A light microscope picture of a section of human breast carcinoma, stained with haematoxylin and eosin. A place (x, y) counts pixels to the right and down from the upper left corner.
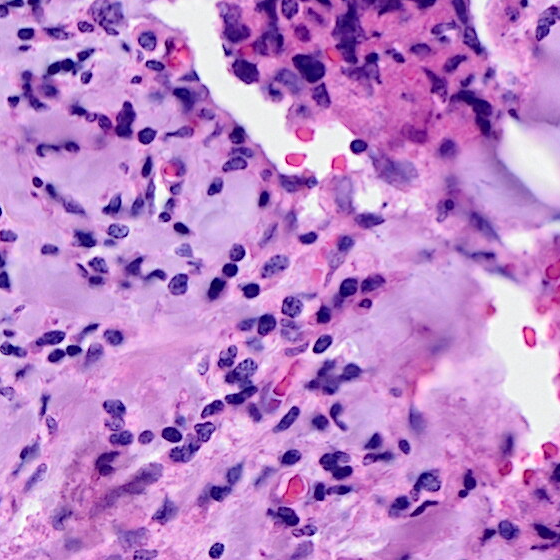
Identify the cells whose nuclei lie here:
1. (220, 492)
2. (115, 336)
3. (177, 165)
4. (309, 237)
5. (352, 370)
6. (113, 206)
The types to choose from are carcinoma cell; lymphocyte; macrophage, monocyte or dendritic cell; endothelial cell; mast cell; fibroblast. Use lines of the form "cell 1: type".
cell 1: lymphocyte
cell 2: mast cell
cell 3: endothelial cell
cell 4: lymphocyte
cell 5: lymphocyte
cell 6: lymphocyte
